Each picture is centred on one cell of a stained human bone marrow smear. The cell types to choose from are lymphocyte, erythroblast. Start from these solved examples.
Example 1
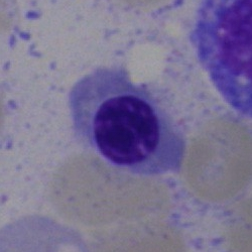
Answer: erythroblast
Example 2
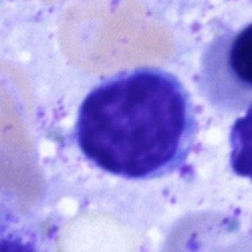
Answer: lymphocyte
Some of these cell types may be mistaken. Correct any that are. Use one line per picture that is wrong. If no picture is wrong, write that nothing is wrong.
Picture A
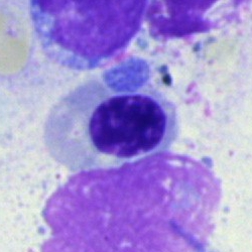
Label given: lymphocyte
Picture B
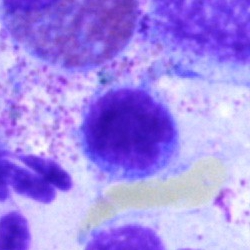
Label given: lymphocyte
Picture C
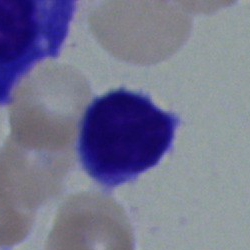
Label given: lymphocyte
A should be erythroblast, not lymphocyte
